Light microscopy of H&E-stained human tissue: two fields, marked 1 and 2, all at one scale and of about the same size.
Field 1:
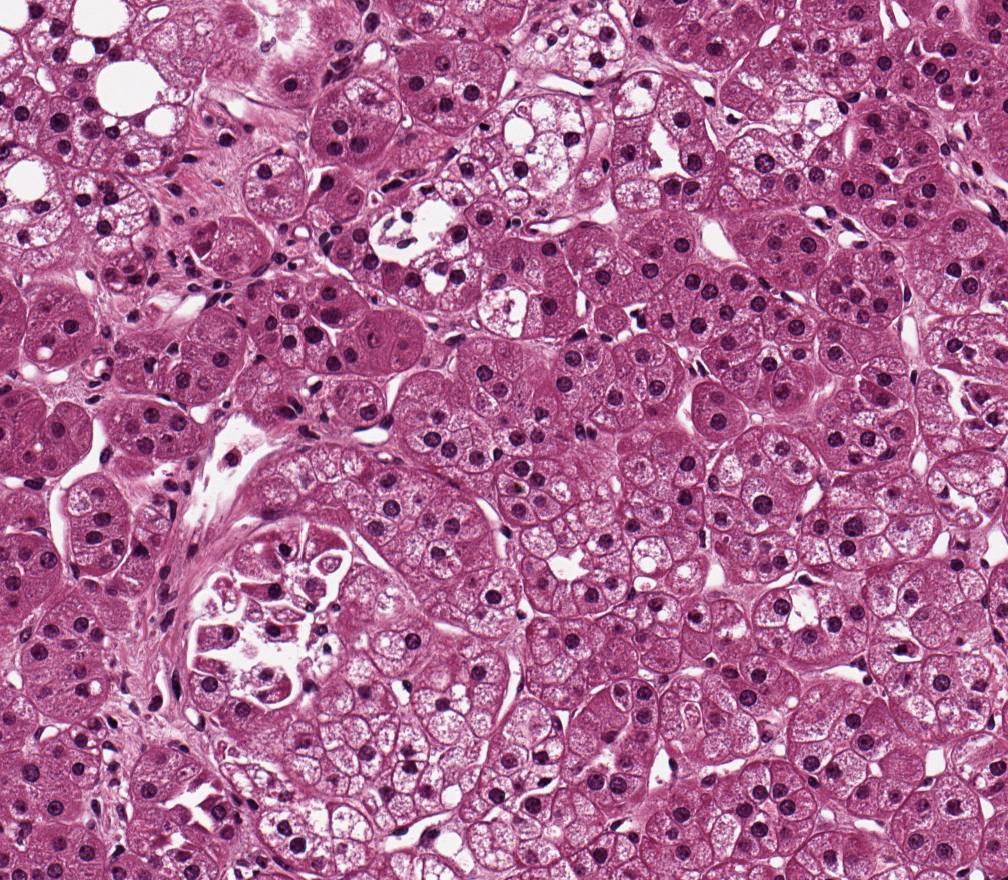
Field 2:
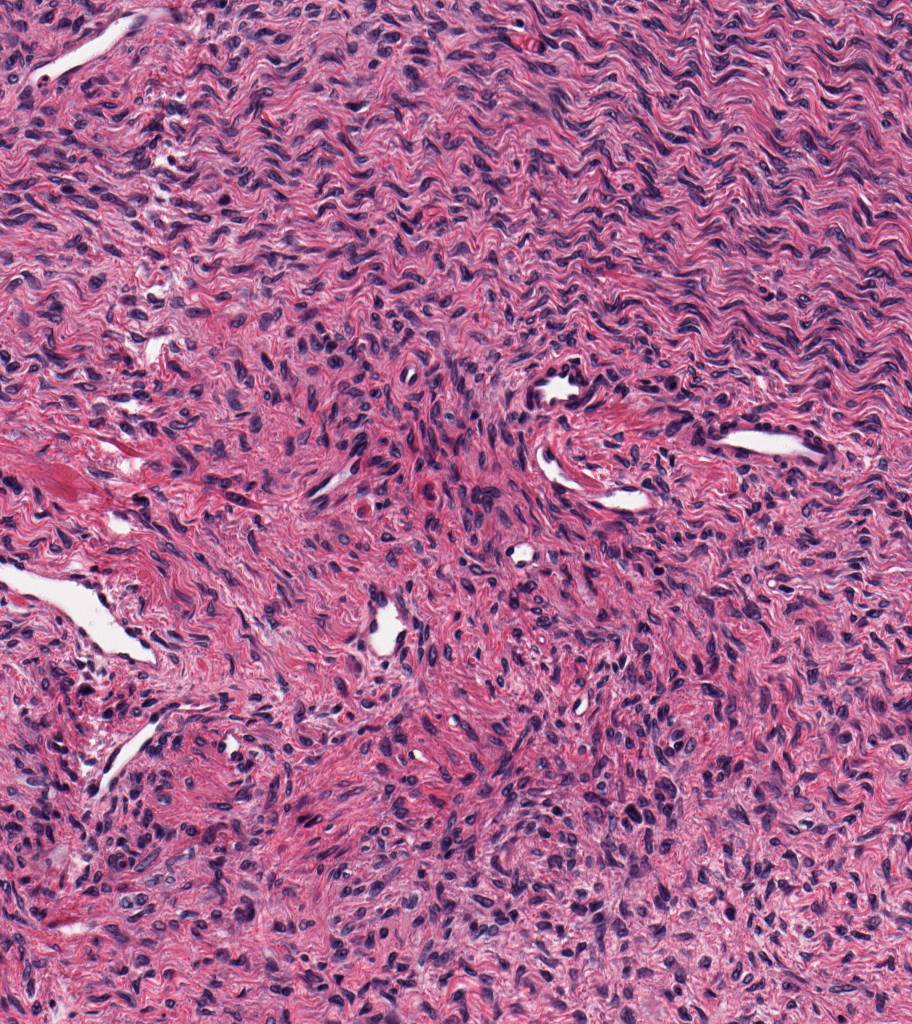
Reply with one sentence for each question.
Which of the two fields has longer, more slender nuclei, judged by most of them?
It is field 2 whose nuclei are the more elongated.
